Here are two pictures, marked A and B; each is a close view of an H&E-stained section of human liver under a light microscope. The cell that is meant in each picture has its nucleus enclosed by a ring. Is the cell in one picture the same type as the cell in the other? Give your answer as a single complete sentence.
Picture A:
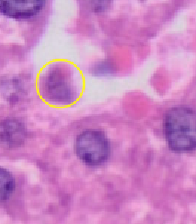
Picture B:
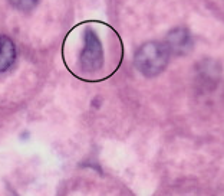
Yes, both cells are Kupffer cells.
